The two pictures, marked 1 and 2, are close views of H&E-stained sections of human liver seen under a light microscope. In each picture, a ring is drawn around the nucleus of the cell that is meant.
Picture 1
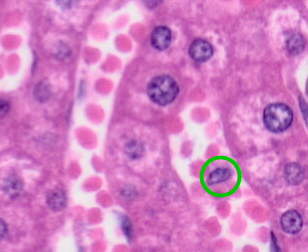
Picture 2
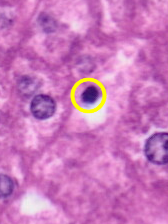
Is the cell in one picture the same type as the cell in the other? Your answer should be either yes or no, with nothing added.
no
